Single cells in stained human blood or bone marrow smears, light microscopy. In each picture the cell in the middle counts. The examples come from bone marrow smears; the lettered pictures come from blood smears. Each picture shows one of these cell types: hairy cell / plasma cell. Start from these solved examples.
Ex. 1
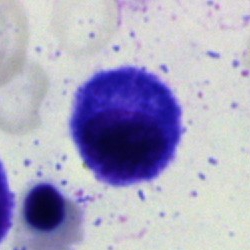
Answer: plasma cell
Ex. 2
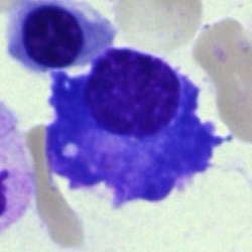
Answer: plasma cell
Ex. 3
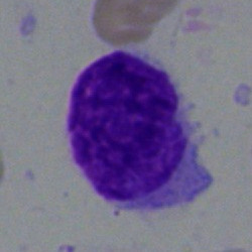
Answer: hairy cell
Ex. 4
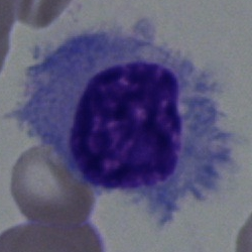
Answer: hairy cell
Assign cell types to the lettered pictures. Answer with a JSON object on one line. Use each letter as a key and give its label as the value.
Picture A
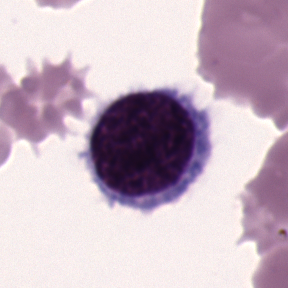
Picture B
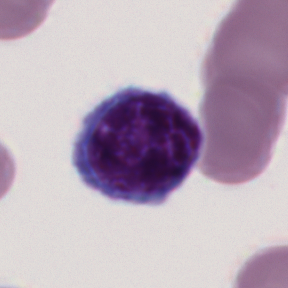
{"A": "hairy cell", "B": "plasma cell"}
